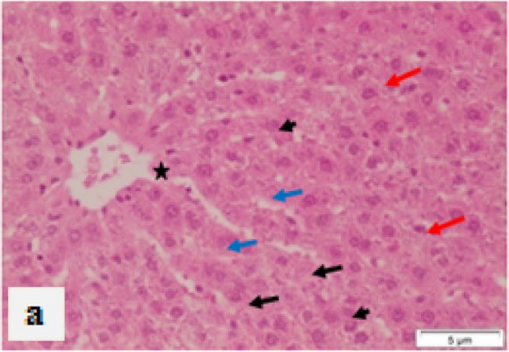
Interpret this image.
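Liver tissue with hepatocytes arranged in cords radiating from a central vein, which appears as an irregular clear lumen on the left. The hepatocytes are large polygonal cells with pink cytoplasm and round, pale nuclei each with a distinct nucleolus; several cells contain two nuclei. Between the cords run narrow clear sinusoids, along which a few small, dark, flattened nuclei lie, consistent with lining cells. The cords are regular and the cells uniform, with no vacuoles, inflammatory clusters or disruption of the architecture visible.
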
